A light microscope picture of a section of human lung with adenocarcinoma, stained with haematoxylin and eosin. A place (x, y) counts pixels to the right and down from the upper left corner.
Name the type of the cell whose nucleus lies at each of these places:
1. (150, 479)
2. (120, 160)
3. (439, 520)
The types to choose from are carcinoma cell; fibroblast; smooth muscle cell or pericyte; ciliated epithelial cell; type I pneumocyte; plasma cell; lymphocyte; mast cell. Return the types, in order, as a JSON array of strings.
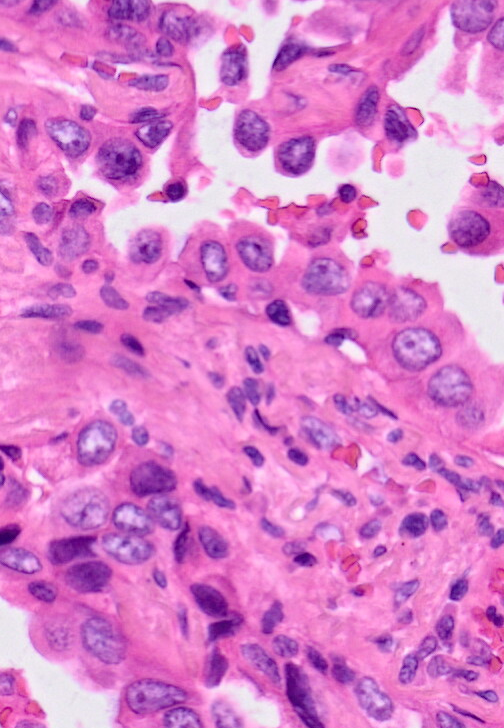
["carcinoma cell", "carcinoma cell", "lymphocyte"]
